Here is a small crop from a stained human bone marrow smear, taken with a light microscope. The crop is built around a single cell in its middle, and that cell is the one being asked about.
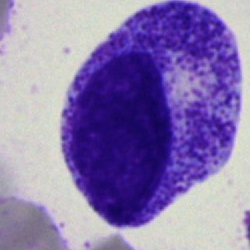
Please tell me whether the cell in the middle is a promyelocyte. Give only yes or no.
yes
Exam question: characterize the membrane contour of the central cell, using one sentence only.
You can see a smooth boundary, with no projections sticking out.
